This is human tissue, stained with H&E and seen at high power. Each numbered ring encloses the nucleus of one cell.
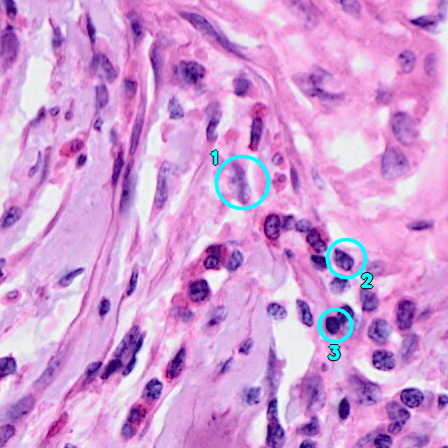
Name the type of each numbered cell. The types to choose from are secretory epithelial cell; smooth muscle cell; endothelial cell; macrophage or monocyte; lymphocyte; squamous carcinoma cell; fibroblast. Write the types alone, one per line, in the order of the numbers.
fibroblast
lymphocyte
lymphocyte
